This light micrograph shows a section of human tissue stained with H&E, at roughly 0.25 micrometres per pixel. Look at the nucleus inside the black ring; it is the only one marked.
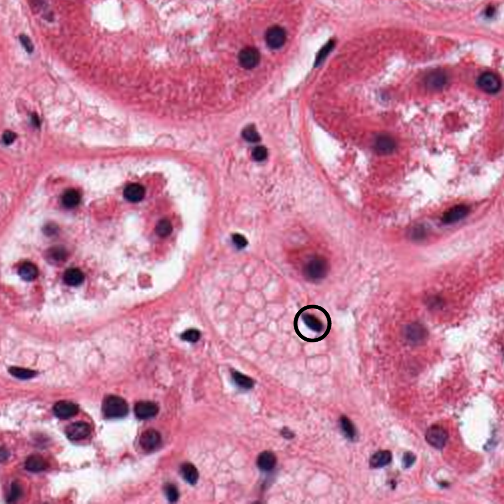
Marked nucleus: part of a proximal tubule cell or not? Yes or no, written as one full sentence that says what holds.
No, the marked nucleus has its place in a supporting cell rather than in a proximal tubule cell.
